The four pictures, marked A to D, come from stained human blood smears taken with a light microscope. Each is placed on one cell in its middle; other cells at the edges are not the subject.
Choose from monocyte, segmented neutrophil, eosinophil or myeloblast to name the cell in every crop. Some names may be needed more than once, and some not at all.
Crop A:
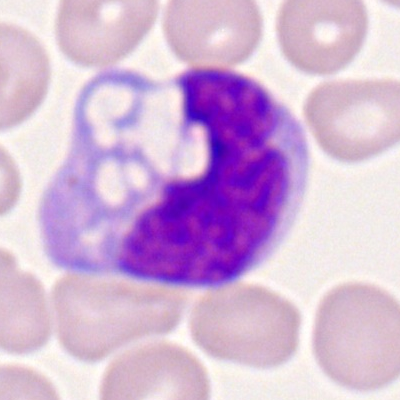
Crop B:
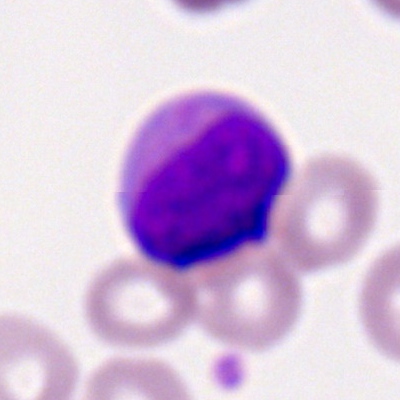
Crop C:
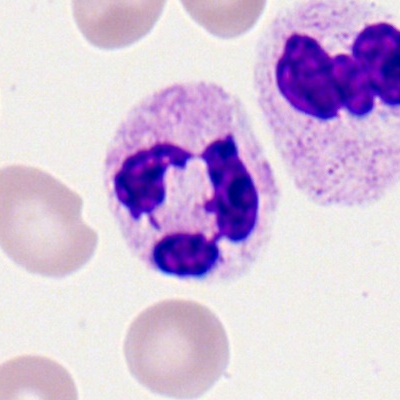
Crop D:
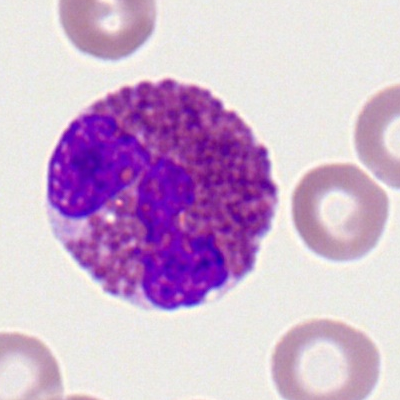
A: monocyte
B: myeloblast
C: segmented neutrophil
D: eosinophil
